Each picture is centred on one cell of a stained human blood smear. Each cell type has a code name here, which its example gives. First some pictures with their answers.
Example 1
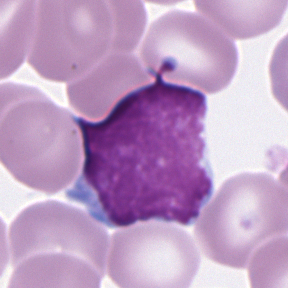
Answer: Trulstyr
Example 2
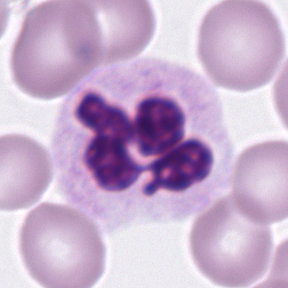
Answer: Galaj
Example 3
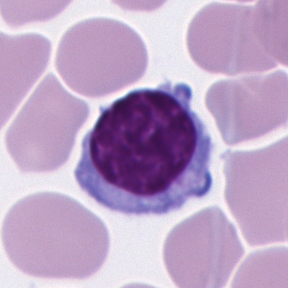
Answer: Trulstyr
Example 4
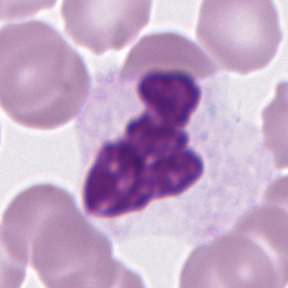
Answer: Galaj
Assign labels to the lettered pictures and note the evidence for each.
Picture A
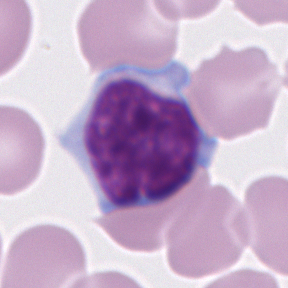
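Answer: Trulstyr. The cytoplasm forms only a narrow pale blue rim around the nucleus.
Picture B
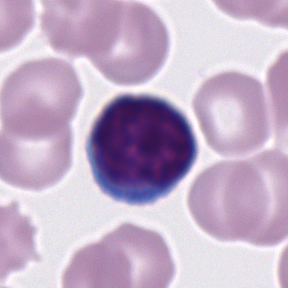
Answer: Trulstyr. The cytoplasm forms only a thin rim beside the nucleus.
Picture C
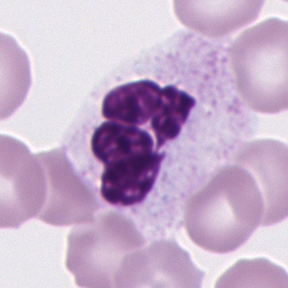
Answer: Galaj. The cytoplasm is abundant and very pale, faintly lilac-grey.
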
